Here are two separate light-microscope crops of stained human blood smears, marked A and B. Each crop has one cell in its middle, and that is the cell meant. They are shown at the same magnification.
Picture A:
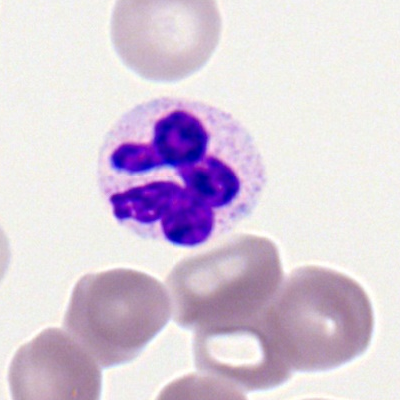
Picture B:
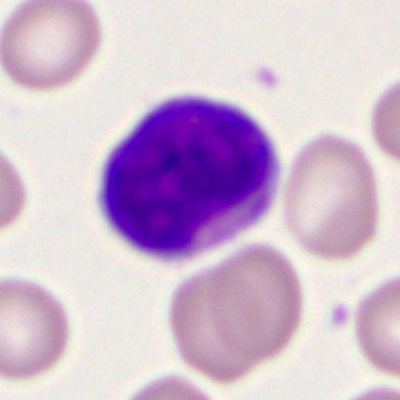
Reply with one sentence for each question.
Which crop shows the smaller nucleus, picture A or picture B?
Smaller is the nucleus in picture A, and the other is about 2 times as large in area.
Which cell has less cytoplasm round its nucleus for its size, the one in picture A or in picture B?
It is the cell in picture B that is filled more by its nucleus.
